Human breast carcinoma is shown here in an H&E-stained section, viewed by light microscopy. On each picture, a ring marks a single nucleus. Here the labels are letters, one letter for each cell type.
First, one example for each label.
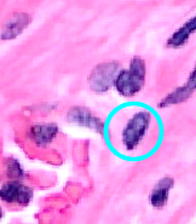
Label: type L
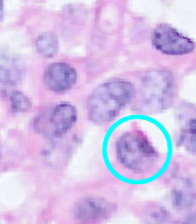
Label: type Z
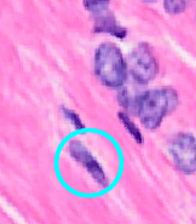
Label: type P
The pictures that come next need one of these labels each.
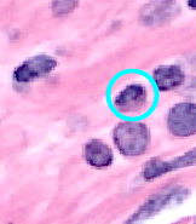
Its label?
type L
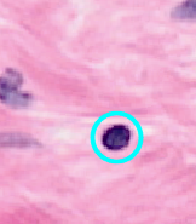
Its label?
type L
